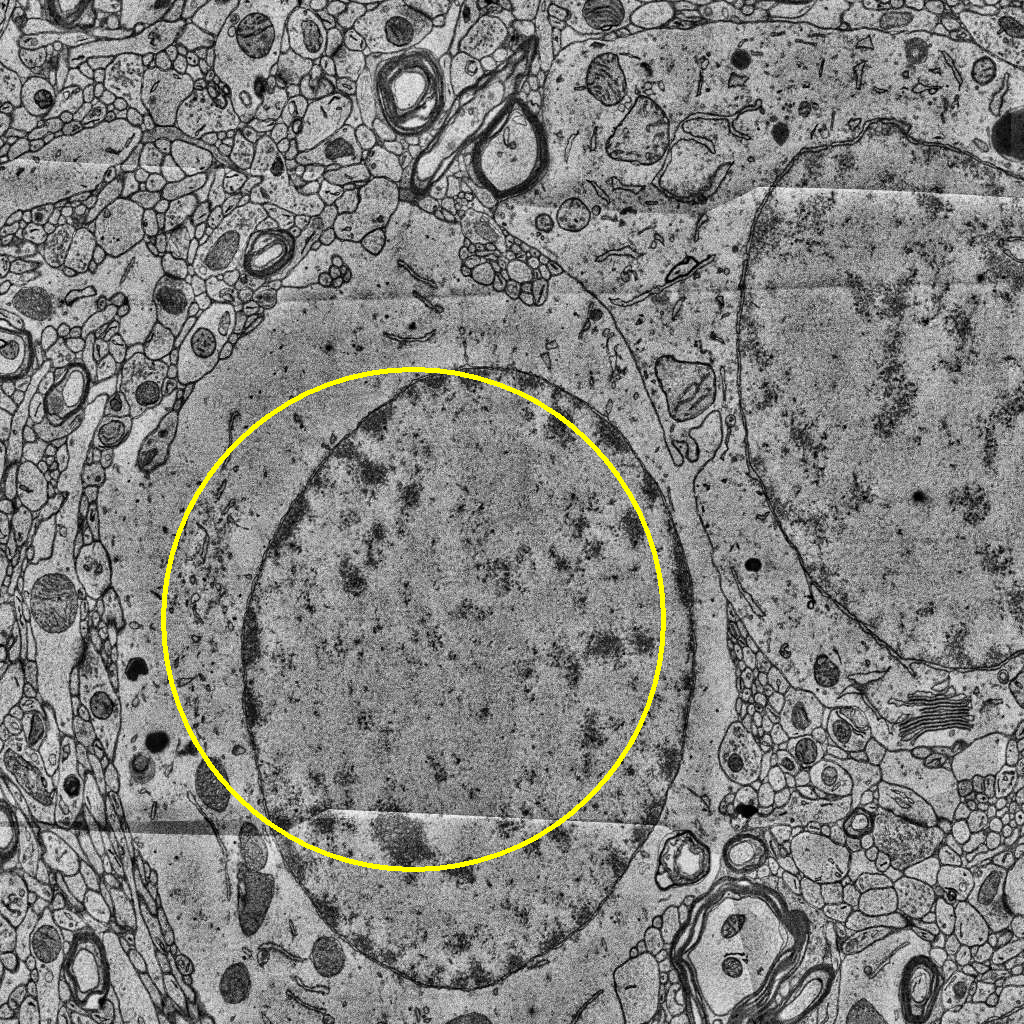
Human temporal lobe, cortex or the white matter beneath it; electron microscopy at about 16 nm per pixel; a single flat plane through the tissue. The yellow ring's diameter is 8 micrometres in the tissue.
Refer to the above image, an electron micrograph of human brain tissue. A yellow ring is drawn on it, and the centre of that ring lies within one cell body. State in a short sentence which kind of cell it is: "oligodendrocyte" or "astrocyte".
The centre of the ring falls on an astrocyte.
